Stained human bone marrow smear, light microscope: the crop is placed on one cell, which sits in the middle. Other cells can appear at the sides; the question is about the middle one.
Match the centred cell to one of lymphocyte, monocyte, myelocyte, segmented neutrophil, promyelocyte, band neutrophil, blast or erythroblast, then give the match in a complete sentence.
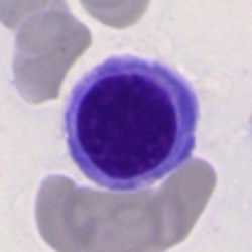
What sits at the centre of this crop is an erythroblast.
